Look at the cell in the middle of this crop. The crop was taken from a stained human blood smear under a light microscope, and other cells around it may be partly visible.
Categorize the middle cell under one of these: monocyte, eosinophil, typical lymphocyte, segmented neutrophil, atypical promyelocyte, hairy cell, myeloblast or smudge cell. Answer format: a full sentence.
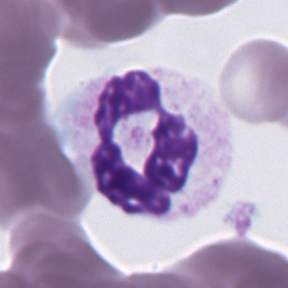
Where the crop is centred, there is a segmented neutrophil.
